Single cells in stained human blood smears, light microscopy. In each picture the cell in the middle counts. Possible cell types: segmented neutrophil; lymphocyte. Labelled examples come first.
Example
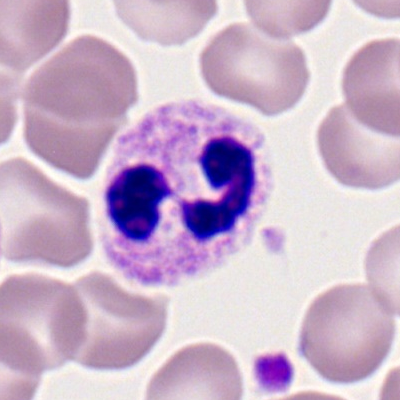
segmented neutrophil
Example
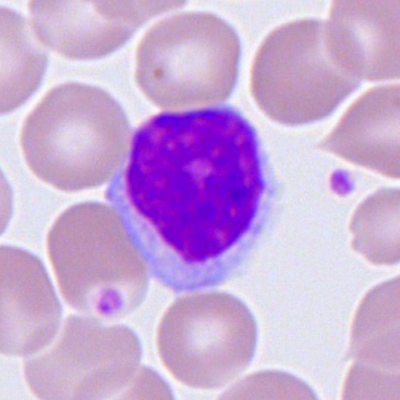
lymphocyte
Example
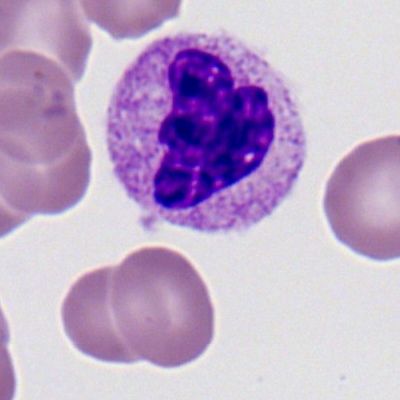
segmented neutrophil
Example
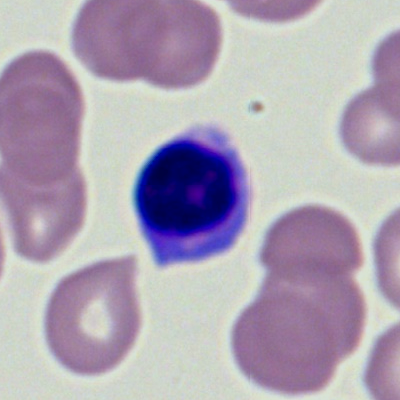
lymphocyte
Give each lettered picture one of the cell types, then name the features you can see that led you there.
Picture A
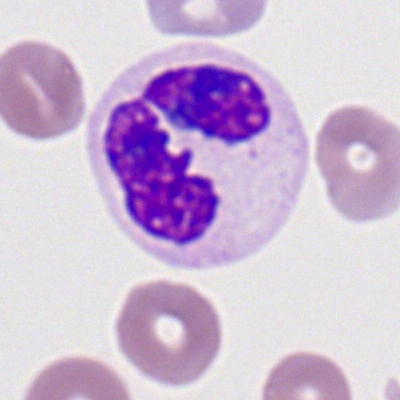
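segmented neutrophil. Evidence: The cytoplasm is plentiful and pale pinkish-lilac.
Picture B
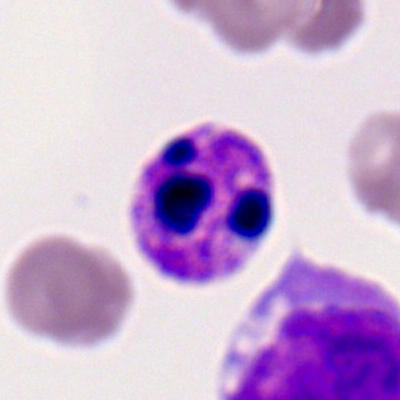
segmented neutrophil. Evidence: The cytoplasm is abundant and pinkish-purple.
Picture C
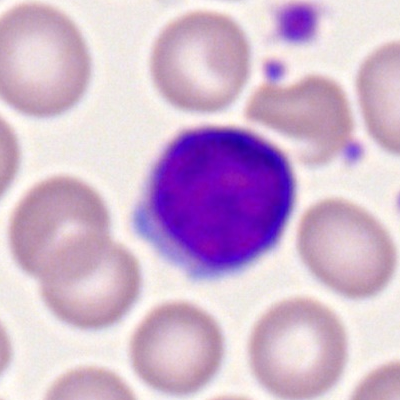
lymphocyte. Evidence: The cytoplasm is a scant pale blue rim, seen mostly at the lower left of the nucleus.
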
